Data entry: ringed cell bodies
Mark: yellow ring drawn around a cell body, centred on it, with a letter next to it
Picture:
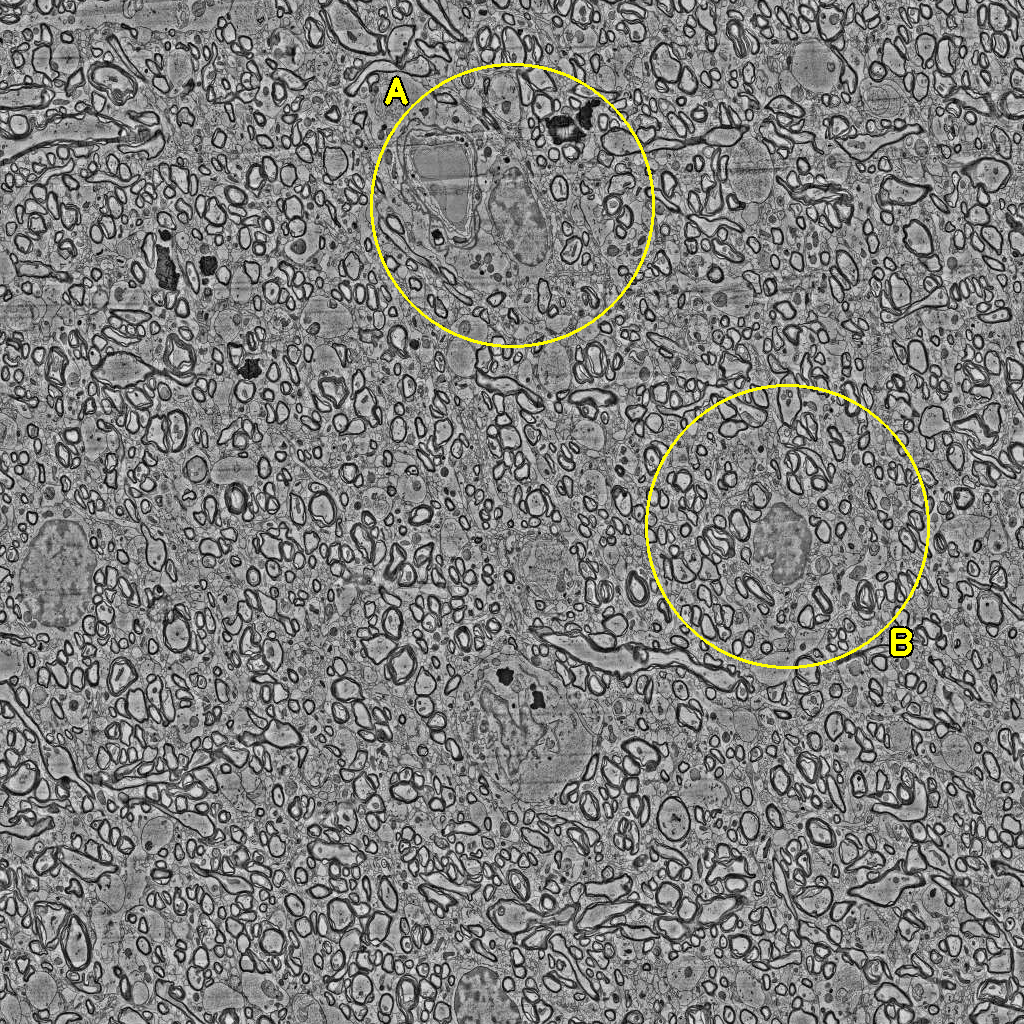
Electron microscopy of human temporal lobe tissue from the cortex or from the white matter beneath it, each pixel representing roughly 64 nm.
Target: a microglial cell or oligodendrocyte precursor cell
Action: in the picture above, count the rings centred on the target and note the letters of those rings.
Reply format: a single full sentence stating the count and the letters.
A search of the yellow rings finds none centred on a microglial cell or oligodendrocyte precursor cell, so the number is zero.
